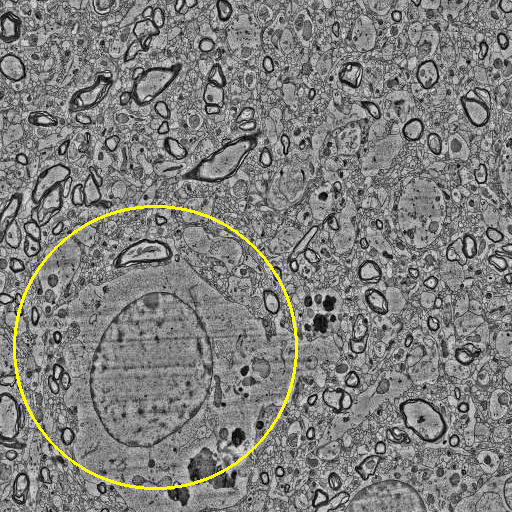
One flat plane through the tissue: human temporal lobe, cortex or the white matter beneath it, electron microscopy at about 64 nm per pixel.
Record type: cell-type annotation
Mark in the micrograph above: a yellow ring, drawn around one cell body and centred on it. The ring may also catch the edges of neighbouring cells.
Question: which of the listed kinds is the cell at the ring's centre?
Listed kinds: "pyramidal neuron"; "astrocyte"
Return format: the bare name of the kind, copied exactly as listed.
astrocyte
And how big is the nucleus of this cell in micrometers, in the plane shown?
In this plane the nucleus measures roughly 10 by 8 micrometers.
